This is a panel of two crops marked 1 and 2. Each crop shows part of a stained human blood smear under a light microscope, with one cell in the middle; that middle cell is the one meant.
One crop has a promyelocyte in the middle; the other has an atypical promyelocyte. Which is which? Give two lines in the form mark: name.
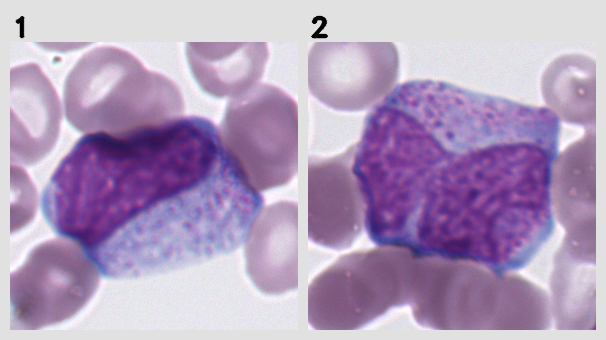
1: promyelocyte
2: atypical promyelocyte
